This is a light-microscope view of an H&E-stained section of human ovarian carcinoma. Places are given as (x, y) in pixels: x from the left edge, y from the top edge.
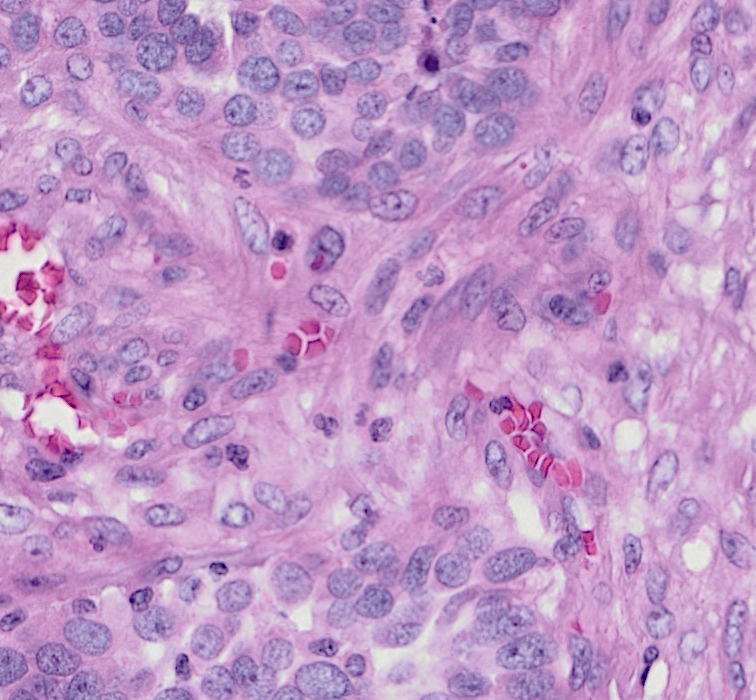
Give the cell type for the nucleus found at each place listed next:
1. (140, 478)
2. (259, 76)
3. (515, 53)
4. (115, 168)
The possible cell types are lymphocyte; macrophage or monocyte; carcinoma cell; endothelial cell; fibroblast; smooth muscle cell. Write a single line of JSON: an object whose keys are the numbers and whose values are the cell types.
{"1": "fibroblast", "2": "carcinoma cell", "3": "macrophage or monocyte", "4": "fibroblast"}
